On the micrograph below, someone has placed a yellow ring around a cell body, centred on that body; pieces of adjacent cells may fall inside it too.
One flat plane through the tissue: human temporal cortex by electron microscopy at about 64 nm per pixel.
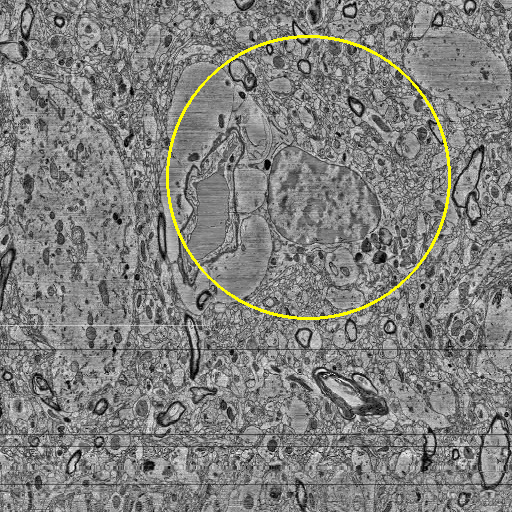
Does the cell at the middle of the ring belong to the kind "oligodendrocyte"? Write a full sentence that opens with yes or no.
No, the micrograph shows another kind of cell at the ring's centre.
